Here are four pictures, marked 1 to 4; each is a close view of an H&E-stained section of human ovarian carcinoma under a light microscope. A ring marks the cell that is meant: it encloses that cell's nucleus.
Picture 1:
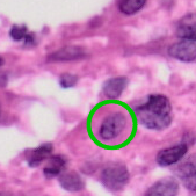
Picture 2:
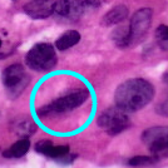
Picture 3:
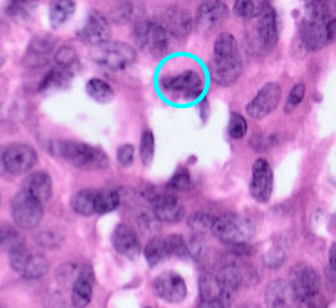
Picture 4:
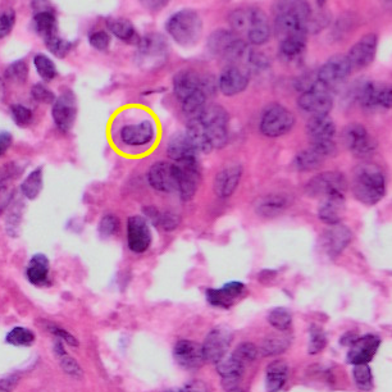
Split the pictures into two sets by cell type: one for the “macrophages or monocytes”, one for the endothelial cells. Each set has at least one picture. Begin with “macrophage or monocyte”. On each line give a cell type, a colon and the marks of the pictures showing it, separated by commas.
macrophage or monocyte: 1, 3, 4
endothelial cell: 2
